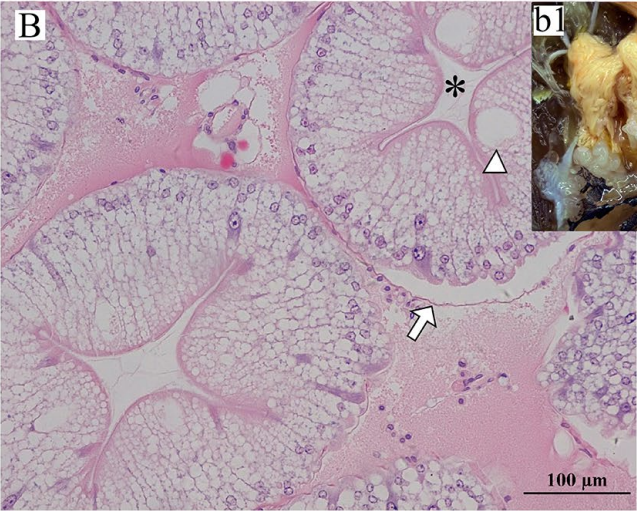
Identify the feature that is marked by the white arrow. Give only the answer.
Basilemma.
